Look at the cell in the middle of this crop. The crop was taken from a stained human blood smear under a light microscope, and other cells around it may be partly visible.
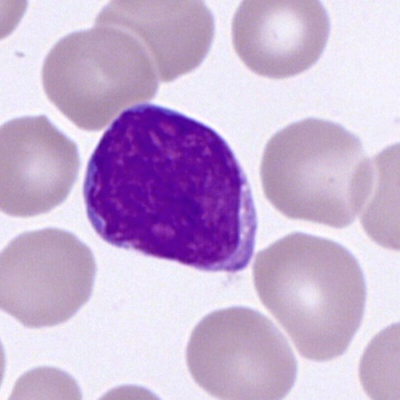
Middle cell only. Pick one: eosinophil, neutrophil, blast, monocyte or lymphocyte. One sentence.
In the center of this field lies a blast.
